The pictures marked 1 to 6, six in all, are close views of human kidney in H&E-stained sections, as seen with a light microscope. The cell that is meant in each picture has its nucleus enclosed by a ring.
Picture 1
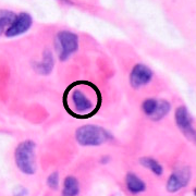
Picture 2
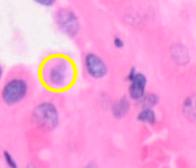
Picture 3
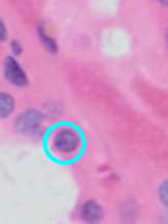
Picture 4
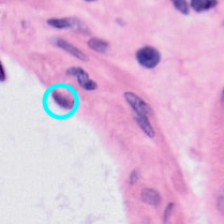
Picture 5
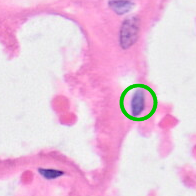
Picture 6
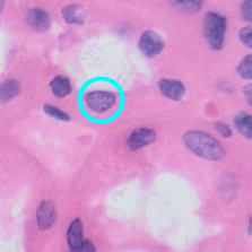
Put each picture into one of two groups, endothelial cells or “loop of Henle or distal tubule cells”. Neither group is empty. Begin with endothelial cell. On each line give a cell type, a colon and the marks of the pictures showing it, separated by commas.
endothelial cell: 1, 4, 5
loop of Henle or distal tubule cell: 2, 3, 6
